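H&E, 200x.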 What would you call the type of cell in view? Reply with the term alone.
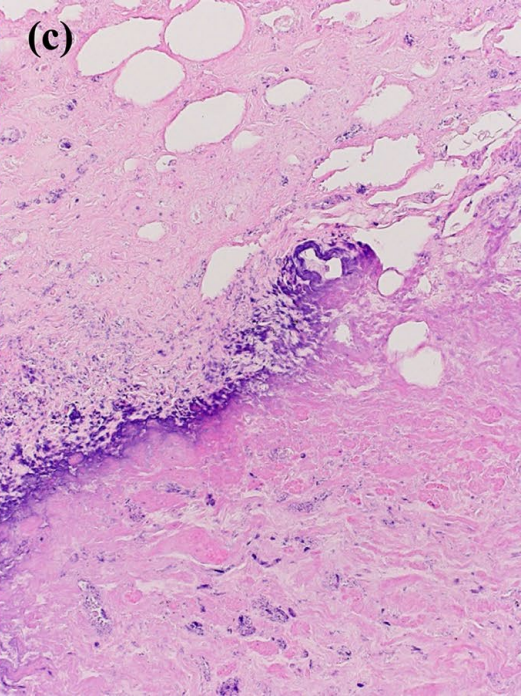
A: shadowy recognizable adipocytes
